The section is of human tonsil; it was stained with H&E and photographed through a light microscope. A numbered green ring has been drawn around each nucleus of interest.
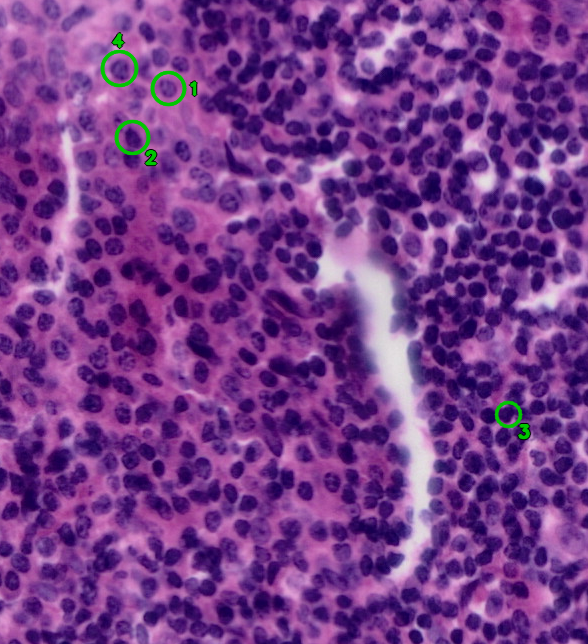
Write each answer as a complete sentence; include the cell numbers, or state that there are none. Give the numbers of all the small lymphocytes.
Cell 3 is a small lymphocyte, and that holds for no other numbered cell.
